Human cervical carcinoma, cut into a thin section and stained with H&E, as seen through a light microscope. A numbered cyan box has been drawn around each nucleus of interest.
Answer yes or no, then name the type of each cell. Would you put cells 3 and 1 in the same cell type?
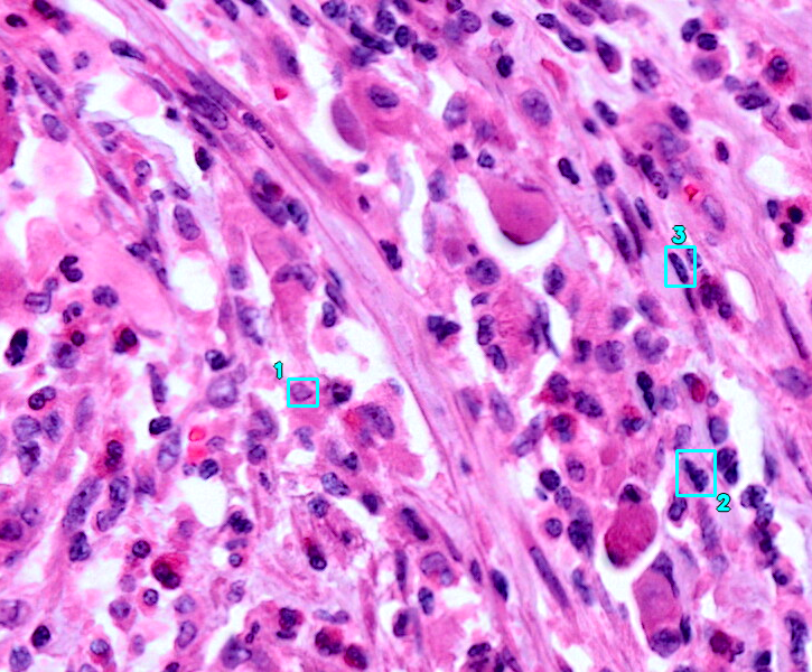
No, cell 3 is a lymphocyte and cell 1 is a macrophage or monocyte.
